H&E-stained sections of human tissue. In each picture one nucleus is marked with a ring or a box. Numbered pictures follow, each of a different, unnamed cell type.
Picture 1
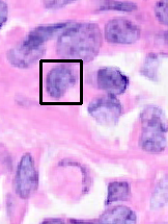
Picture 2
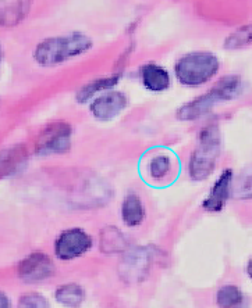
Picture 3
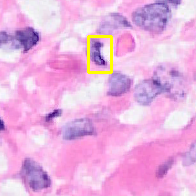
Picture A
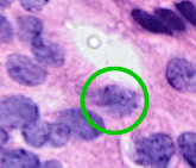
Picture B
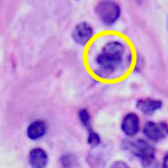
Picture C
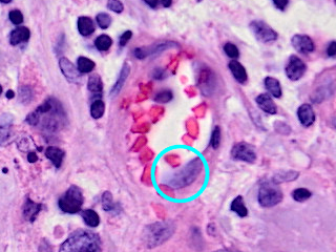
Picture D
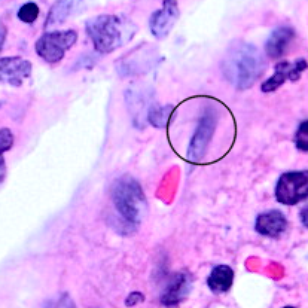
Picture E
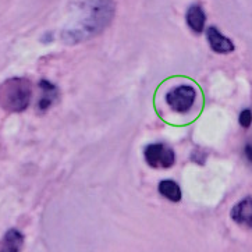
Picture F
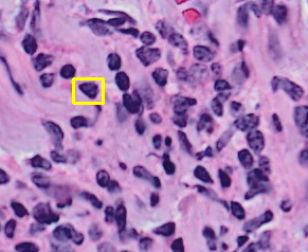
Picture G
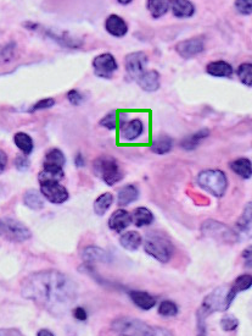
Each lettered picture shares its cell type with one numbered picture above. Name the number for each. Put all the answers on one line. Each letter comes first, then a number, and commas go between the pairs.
A 1, B 2, C 3, D 3, E 2, F 2, G 2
